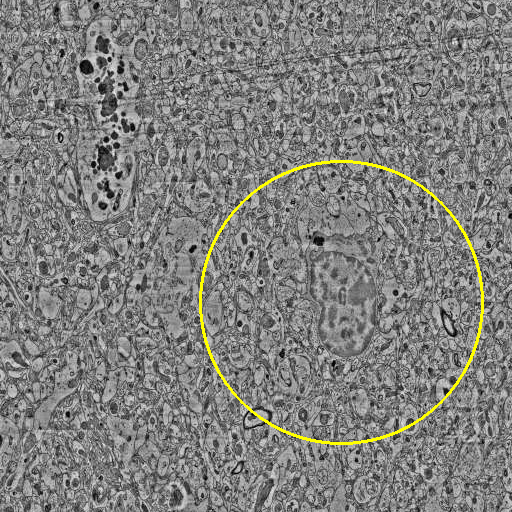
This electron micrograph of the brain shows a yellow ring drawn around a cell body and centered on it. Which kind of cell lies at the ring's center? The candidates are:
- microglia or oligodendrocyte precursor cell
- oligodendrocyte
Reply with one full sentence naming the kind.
The cell lying at the ring's center in this micrograph is an oligodendrocyte.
